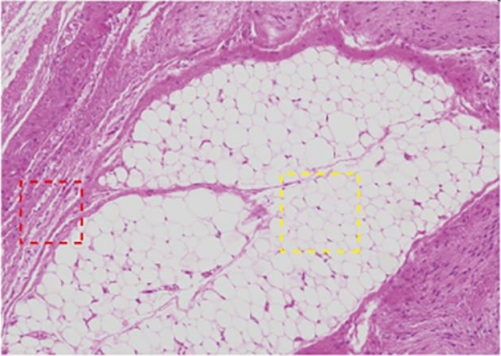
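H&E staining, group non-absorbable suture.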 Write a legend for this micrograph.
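A lobule of adipocytes fills the middle of the field: large, clear, round-to-polygonal cells whose contents look empty, each outlined only by a thin pink membrane. A few thin fibrous septa run across the lobule. The fat is bordered on the left and right by dense, deeply pink tissue with elongated fibres and many small dark nuclei.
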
